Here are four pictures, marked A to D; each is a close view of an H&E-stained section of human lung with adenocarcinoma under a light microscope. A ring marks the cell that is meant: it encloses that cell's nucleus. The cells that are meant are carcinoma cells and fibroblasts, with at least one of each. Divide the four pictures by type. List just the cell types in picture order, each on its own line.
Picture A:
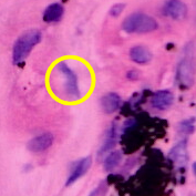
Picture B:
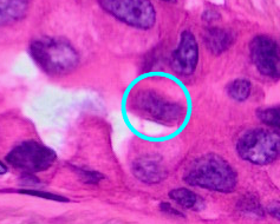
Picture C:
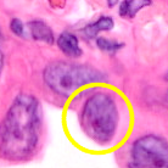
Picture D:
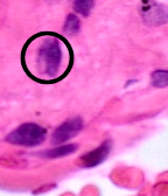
fibroblast
carcinoma cell
carcinoma cell
fibroblast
